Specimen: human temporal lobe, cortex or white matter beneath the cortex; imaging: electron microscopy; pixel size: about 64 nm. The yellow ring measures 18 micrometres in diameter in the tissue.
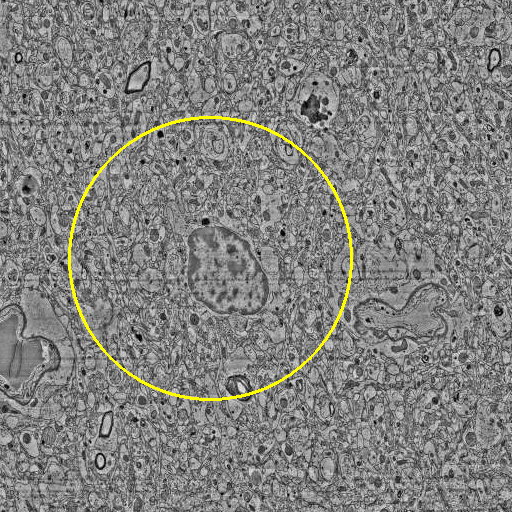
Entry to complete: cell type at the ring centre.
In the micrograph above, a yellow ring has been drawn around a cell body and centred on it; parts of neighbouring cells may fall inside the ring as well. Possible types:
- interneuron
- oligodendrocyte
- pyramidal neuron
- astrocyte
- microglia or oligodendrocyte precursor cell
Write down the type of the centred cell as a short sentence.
The ring is centred on a microglial cell or oligodendrocyte precursor cell.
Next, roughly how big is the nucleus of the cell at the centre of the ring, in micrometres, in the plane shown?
Approximately 7 by 4 micrometers in this plane.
